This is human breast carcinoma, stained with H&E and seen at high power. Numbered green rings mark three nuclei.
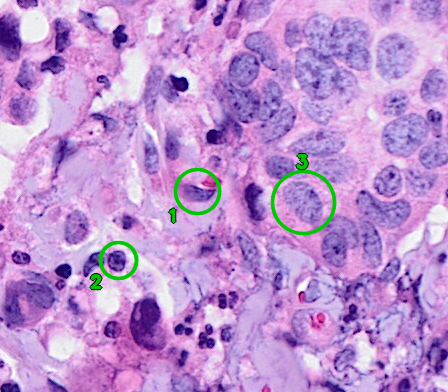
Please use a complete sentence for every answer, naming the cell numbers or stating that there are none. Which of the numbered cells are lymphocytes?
Among the numbered cells, a lymphocyte occurs only once, as cell 2.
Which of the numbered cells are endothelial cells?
Among the marked cells, an endothelial cell is found only at number 1.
